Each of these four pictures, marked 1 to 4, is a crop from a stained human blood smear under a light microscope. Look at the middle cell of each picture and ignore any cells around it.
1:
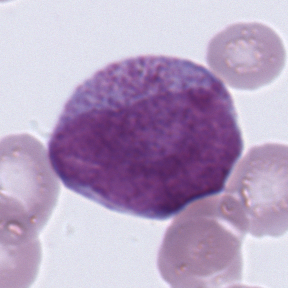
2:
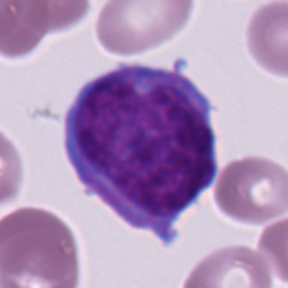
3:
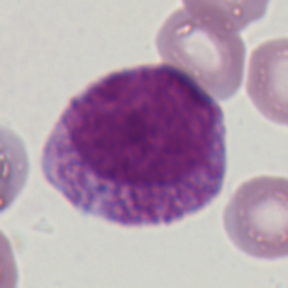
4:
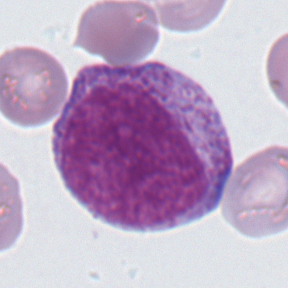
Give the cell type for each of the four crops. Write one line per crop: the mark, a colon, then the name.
1: promyelocyte
2: atypical promyelocyte
3: promyelocyte
4: promyelocyte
